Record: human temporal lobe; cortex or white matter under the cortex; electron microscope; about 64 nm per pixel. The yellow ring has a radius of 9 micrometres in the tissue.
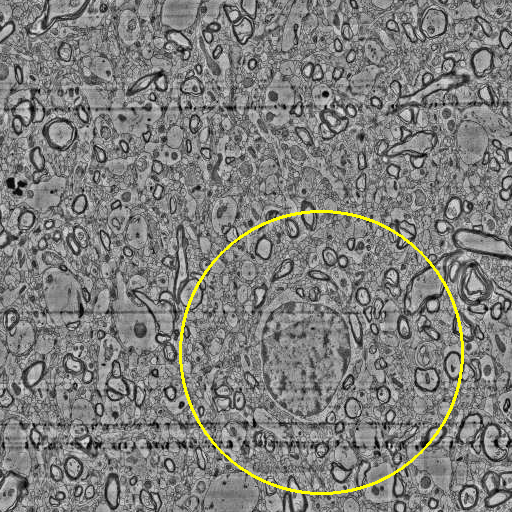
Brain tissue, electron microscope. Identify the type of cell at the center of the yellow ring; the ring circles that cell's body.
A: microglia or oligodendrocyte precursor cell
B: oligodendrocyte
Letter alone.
A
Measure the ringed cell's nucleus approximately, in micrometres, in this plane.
Approximately 7 by 6 micrometers in this plane.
